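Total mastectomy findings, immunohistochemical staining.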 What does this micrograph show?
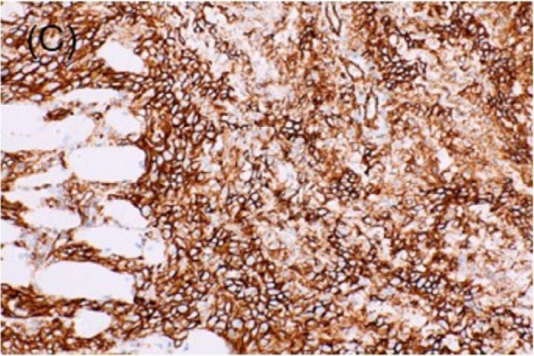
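The section shows densely packed neoplastic cells with strong brown membranous staining. The brown rims outline individual cells, giving a net-like pattern across the field. At the left, the stained cells infiltrate between large clear empty spaces of fat cells. Some areas in the middle are looser, with paler stained cells separated by clear spaces.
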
